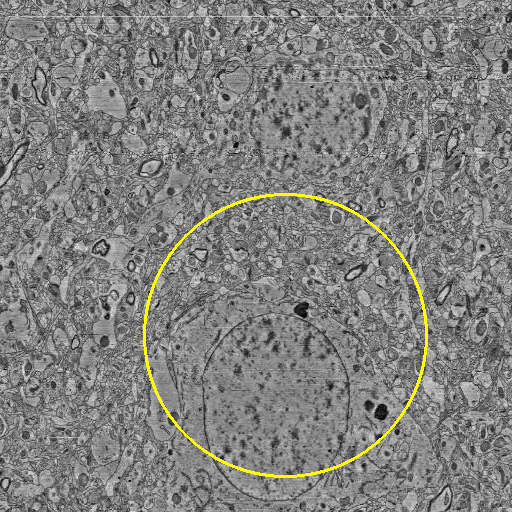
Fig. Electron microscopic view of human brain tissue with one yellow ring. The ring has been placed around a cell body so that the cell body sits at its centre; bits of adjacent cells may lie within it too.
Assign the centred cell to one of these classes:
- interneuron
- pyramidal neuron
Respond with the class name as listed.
pyramidal neuron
